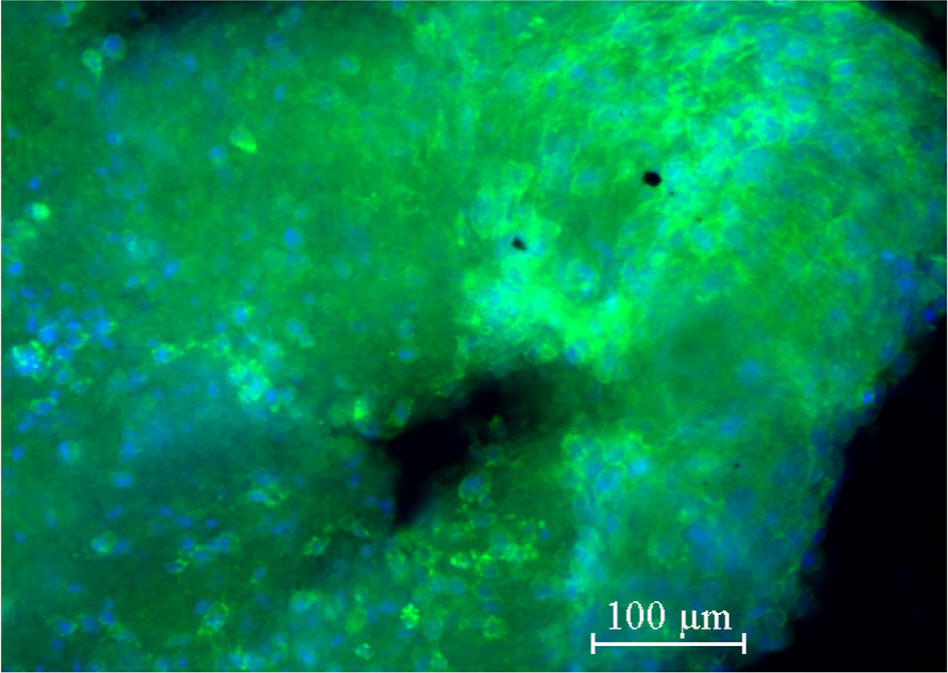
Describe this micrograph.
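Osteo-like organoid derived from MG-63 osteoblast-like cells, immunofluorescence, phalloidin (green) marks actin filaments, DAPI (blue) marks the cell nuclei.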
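The green is brightest in the upper right part of the aggregate. At the right edge, the aggregate has a rounded, smooth margin against the dark background. A dark, irregular cleft lies near the middle of the lower half, where there are few cells.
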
